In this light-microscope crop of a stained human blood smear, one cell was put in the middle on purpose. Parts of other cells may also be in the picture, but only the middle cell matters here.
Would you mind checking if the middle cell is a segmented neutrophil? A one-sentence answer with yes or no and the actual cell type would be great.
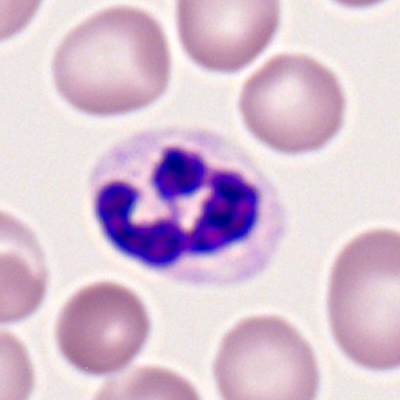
Yes, the cell here in the middle is a segmented neutrophil.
